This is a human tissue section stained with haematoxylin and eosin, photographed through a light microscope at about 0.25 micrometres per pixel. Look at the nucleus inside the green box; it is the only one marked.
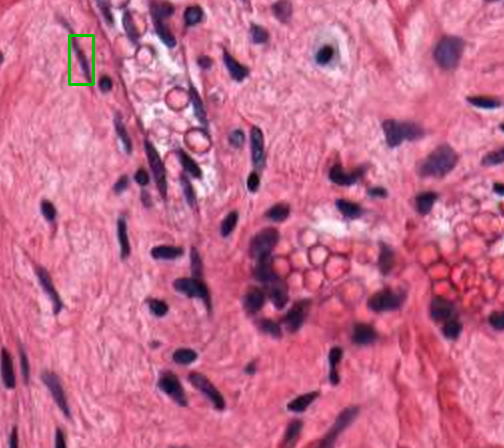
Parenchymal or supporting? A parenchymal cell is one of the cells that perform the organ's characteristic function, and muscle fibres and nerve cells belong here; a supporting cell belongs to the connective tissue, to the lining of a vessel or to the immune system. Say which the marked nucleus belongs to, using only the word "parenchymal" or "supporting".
supporting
